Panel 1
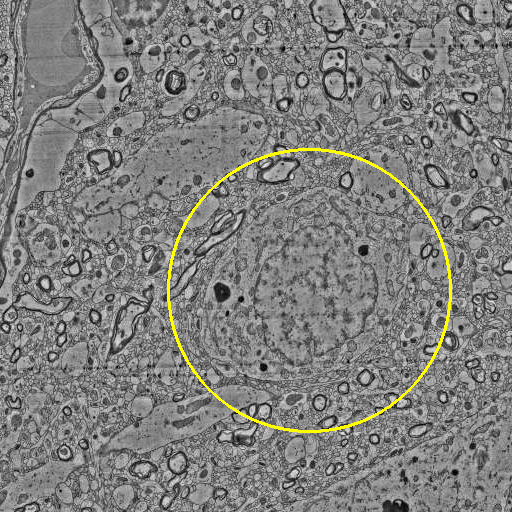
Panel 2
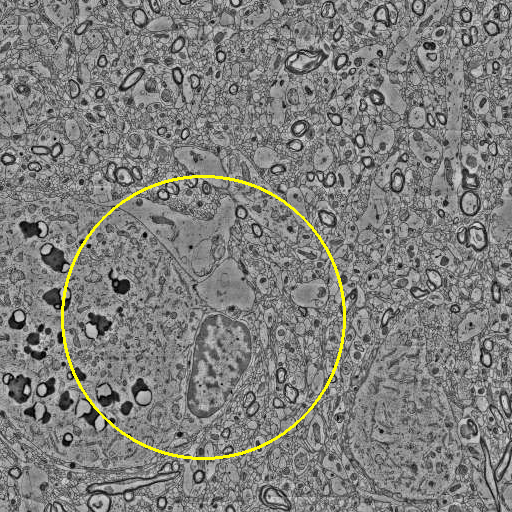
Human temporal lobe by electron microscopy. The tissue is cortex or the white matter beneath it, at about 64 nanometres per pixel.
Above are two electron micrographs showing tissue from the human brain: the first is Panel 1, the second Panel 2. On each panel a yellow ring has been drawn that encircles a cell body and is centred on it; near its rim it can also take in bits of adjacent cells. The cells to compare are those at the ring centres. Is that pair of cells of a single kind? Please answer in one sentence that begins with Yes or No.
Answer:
No, the ring-centred cells of Panel 1 and Panel 2 belong to two kinds.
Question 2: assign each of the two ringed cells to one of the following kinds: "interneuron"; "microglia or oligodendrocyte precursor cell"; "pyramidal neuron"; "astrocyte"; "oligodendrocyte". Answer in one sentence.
The two cells are an interneuron in the first picture and a microglial cell or oligodendrocyte precursor cell in the second.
